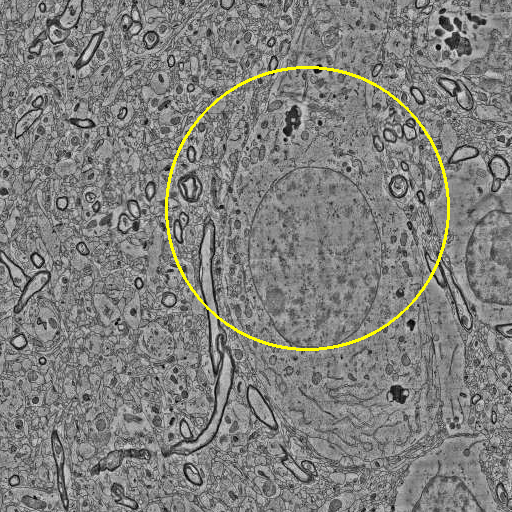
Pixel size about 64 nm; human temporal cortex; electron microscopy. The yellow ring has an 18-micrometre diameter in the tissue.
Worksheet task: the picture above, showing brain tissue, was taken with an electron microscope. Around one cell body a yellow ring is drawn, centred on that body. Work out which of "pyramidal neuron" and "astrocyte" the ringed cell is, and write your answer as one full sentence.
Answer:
It is a pyramidal neuron whose cell body lies at the centre of the yellow ring.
